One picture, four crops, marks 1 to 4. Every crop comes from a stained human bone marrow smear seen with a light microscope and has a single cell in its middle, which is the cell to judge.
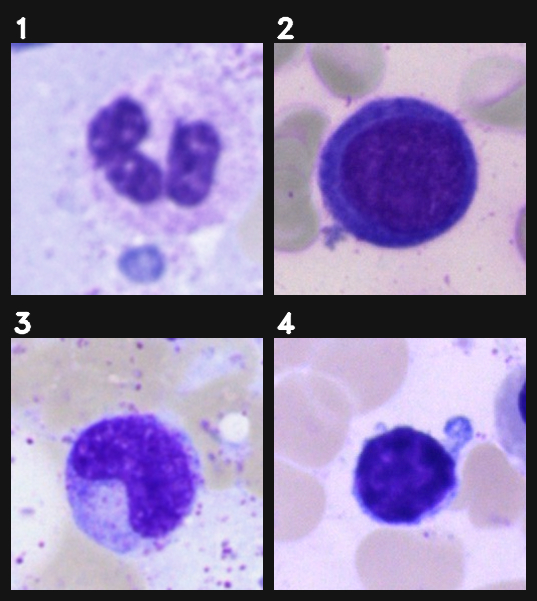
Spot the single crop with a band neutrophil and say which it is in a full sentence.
The requested cell, a band neutrophil, is the one in crop 3.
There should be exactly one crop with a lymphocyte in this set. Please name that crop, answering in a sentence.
The one showing a lymphocyte is crop 4.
